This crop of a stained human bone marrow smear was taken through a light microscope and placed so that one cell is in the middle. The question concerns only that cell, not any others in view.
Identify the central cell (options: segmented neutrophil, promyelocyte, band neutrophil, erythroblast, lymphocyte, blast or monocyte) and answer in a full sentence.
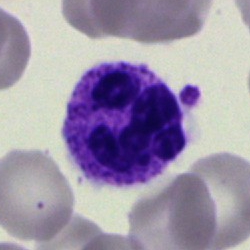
Among the cells in view, the one in the middle is a segmented neutrophil.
